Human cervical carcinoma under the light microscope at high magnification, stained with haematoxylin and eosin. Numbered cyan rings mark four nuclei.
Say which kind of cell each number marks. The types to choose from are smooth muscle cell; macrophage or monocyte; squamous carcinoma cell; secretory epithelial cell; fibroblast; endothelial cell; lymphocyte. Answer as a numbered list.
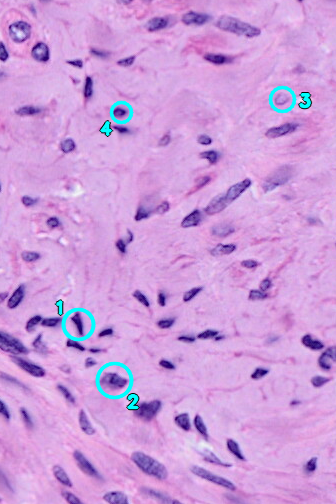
1. fibroblast
2. fibroblast
3. smooth muscle cell
4. fibroblast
